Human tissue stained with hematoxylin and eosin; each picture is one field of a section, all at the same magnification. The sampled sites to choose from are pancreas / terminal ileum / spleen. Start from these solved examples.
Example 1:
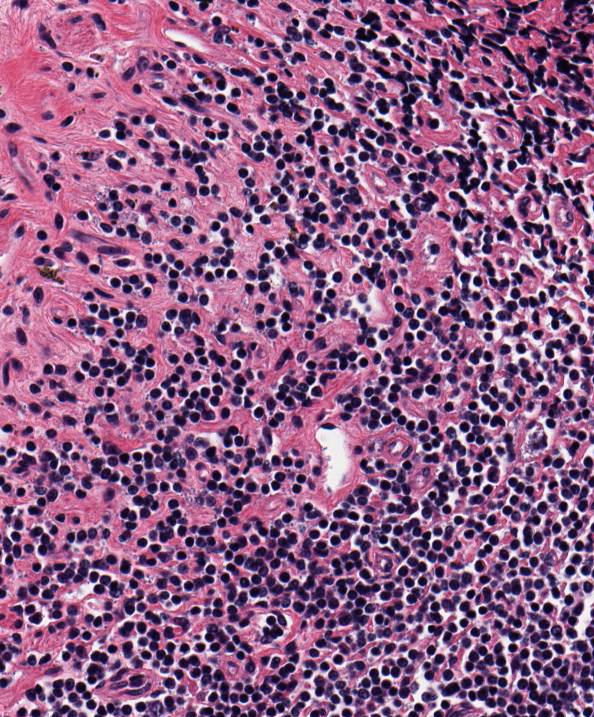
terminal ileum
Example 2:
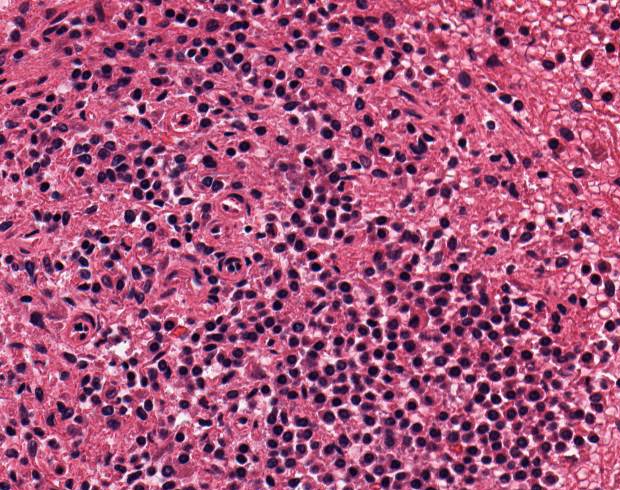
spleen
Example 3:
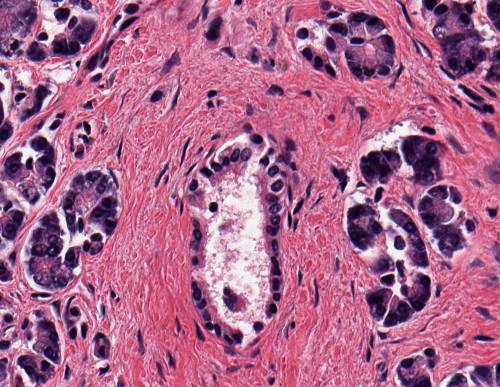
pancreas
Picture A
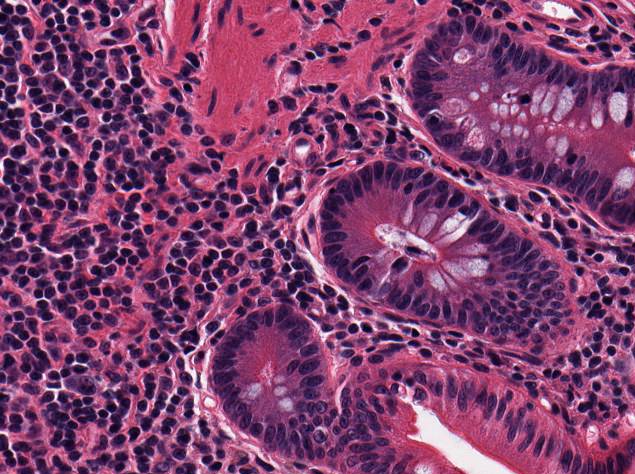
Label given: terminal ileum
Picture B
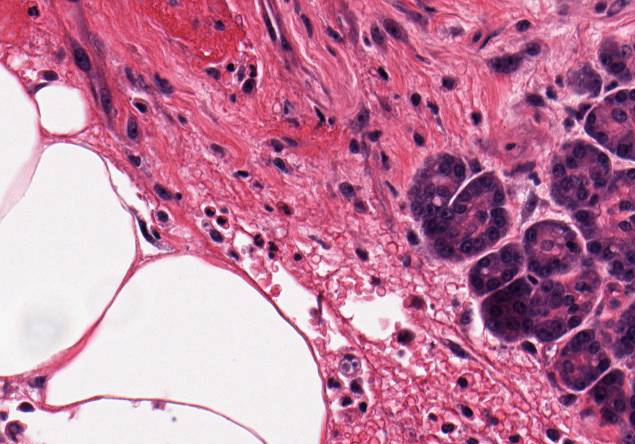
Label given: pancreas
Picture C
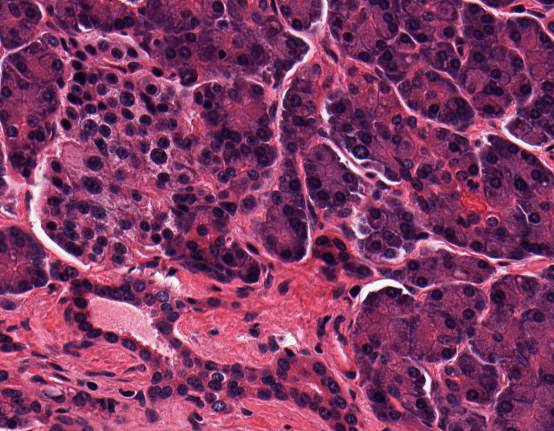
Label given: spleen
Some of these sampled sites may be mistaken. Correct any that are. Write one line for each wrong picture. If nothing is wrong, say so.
C: change spleen to pancreas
